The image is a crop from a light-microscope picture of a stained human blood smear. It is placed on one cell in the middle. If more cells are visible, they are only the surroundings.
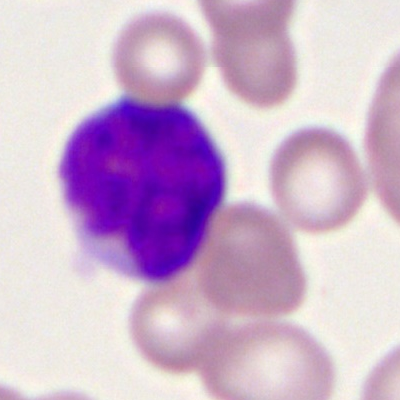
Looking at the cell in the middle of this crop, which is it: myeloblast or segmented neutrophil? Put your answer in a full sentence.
In the crop, the cell of interest at the centre is a myeloblast.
